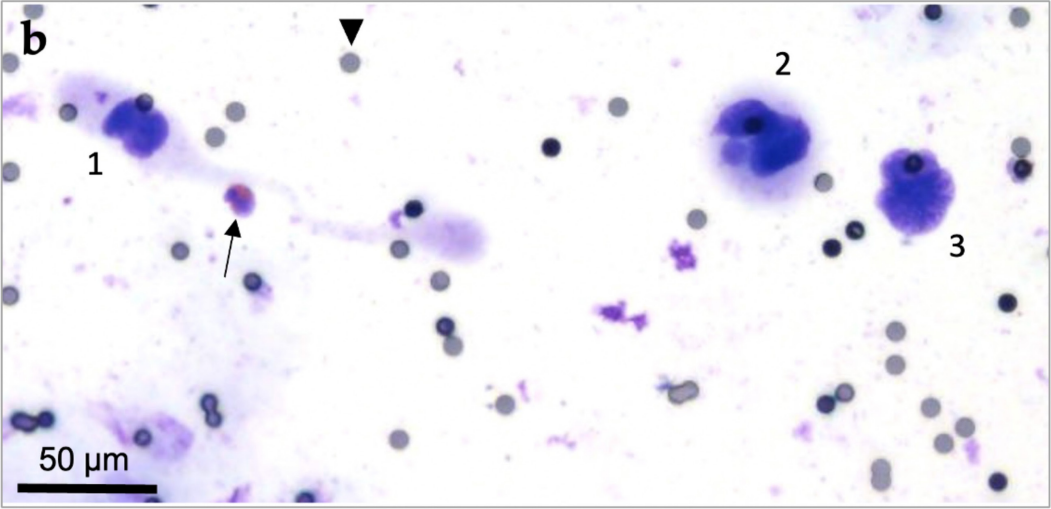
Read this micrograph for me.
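Several cells lie on a filter whose uniform round grey pores are scattered across the field. Two are extraordinary large cells with voluminous pale purple cytoplasm and enlarged lobulated nuclei, one of them drawing out a long cytoplasmic tail, while a third cell is filled almost entirely by a dark, hyperchromatic nucleus with irregular borders and only a thin rim of cytoplasm. Nearby lies a much smaller eosinophil granulocyte with orange-red granular cytoplasm.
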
